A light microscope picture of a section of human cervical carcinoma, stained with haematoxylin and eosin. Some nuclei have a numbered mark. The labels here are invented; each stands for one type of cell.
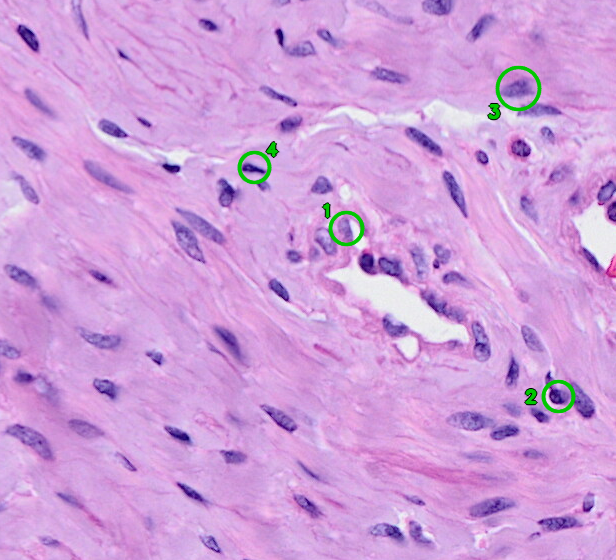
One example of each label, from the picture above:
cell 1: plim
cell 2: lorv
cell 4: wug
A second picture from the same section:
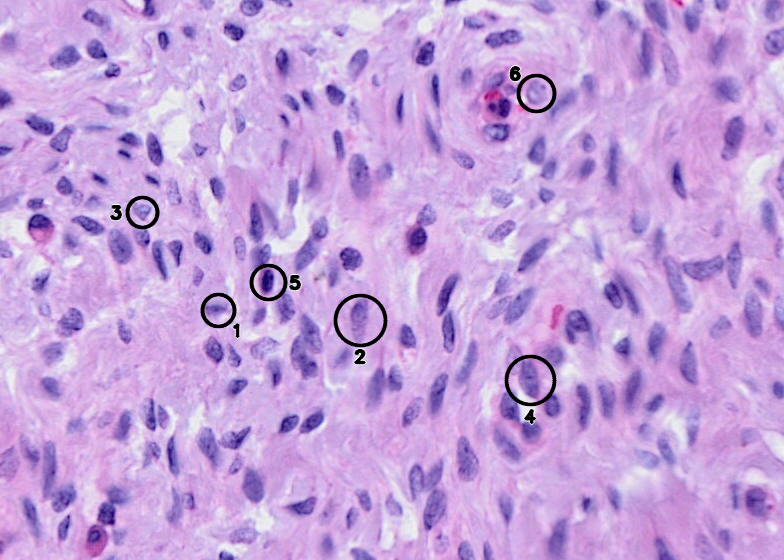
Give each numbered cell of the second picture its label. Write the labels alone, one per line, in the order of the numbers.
wug
wug
wug
plim
lorv
plim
